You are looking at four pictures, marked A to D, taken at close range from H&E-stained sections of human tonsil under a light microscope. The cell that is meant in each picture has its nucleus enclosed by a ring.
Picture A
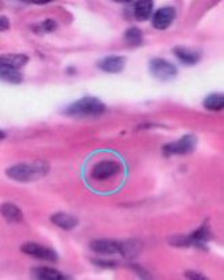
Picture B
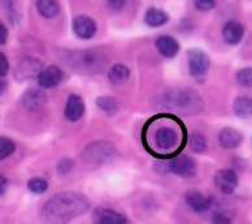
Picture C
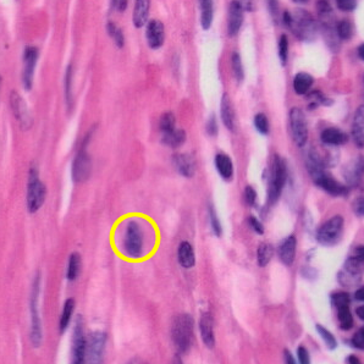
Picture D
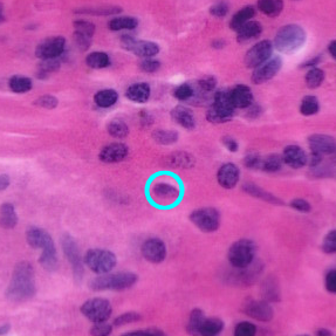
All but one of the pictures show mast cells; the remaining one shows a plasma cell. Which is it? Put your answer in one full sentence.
The plasma cell is the one in picture B.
